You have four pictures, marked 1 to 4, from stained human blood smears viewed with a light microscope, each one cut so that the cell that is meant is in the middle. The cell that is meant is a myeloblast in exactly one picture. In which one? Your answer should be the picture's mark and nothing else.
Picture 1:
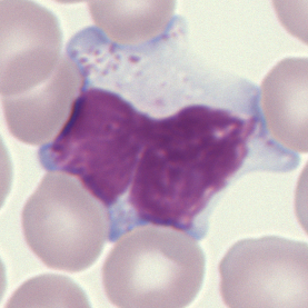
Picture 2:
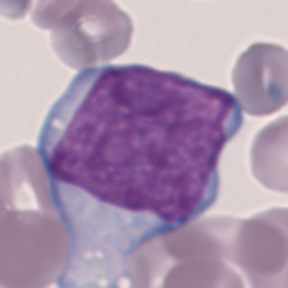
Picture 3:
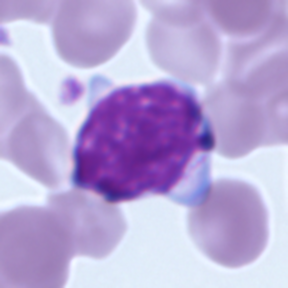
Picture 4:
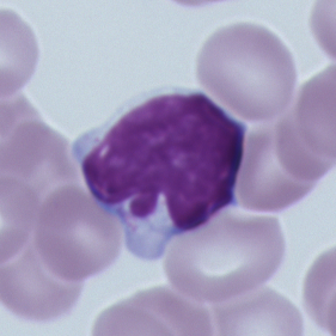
2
